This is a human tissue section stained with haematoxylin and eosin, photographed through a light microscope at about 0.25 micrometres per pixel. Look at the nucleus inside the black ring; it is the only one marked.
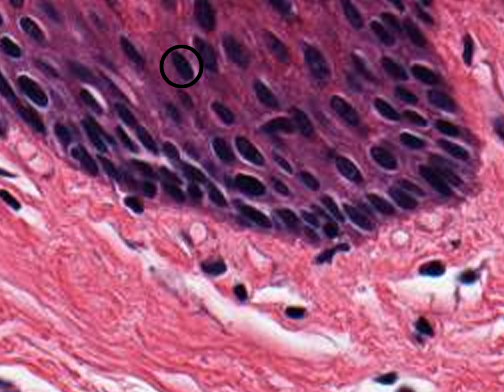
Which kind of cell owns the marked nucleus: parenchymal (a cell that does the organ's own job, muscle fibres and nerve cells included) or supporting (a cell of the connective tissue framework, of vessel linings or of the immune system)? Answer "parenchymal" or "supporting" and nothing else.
parenchymal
